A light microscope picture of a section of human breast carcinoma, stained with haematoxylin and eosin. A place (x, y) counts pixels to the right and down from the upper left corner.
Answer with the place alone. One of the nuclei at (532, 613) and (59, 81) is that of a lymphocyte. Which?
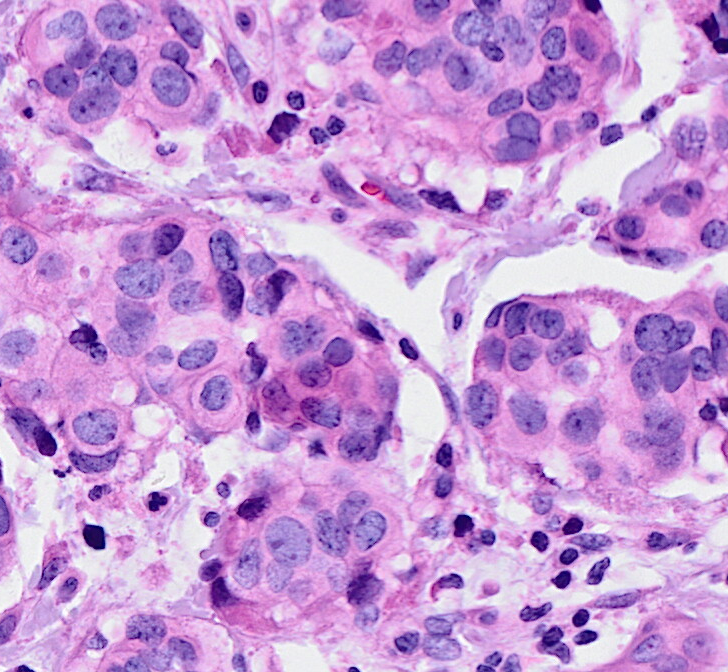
(532, 613)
